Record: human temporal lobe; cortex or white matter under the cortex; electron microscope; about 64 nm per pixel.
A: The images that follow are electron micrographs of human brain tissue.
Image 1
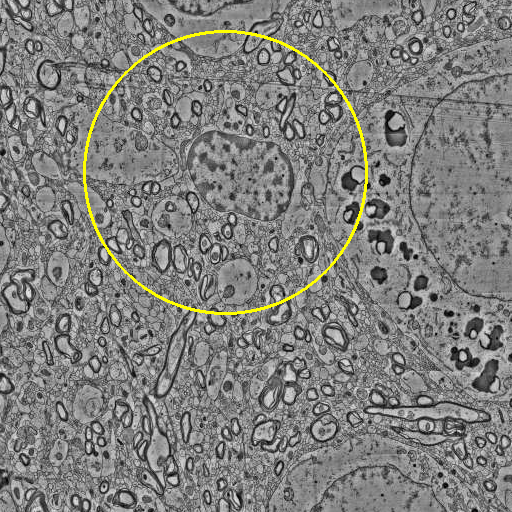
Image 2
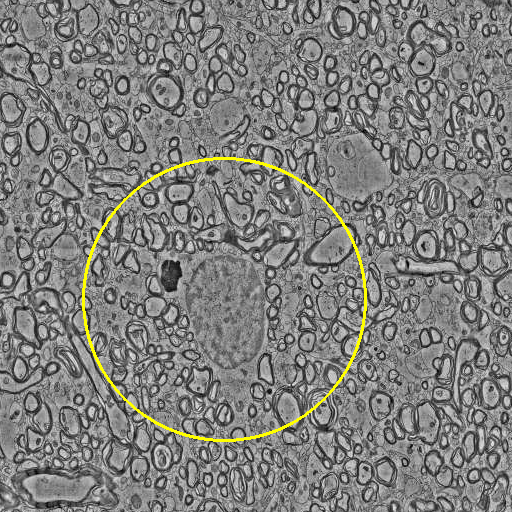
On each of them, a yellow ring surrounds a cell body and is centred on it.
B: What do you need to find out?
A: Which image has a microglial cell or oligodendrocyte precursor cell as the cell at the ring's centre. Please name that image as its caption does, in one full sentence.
Image 1 is the one whose ring has the sought cell at its centre.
